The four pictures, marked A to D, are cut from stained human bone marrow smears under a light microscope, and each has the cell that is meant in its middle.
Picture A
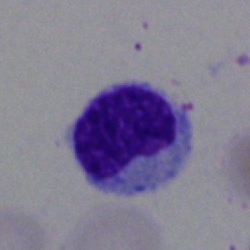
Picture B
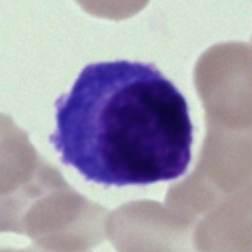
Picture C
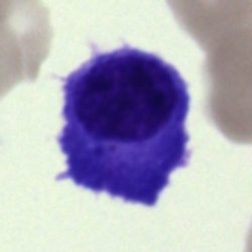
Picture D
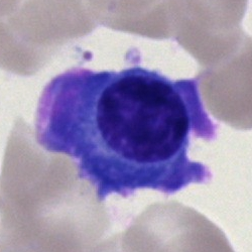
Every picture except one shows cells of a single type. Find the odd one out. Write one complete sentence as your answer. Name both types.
Unlike the rest, which show plasma cells, picture A shows a lymphocyte.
